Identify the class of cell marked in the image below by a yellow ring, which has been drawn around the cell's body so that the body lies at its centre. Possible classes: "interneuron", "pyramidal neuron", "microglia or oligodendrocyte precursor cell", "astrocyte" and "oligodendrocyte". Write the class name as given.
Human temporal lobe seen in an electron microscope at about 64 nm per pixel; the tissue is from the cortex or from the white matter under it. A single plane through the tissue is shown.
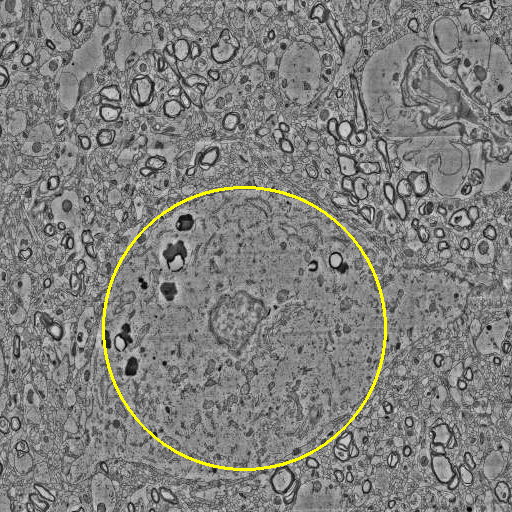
pyramidal neuron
